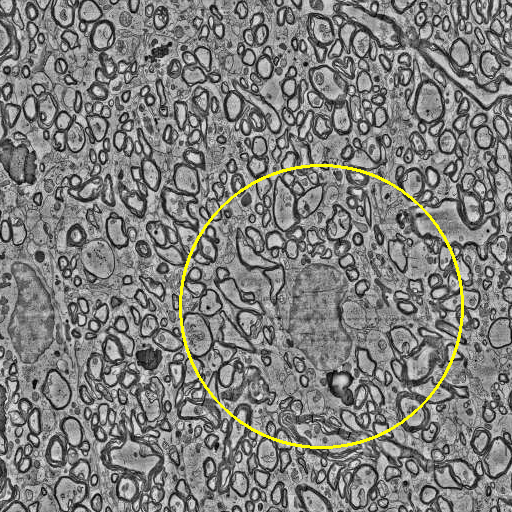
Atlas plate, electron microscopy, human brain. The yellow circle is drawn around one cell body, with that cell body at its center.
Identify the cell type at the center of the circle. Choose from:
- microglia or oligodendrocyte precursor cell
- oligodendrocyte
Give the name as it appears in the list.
oligodendrocyte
